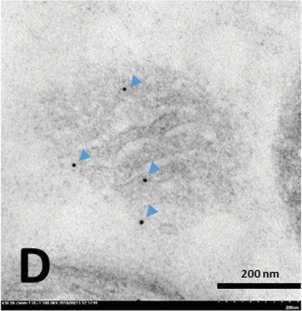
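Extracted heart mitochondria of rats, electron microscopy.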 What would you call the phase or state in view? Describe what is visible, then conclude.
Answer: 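The mitochondrion is pale and faint with no sharp outer membrane. Only a few faint cristae remain.
Answer: ghost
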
